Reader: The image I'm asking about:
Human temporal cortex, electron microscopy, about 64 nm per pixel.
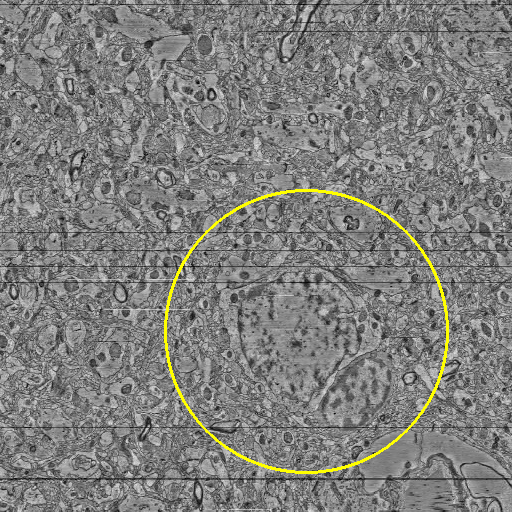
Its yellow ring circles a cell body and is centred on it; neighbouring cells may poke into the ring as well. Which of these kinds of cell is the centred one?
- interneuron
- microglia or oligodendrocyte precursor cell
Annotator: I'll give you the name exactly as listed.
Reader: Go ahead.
interneuron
